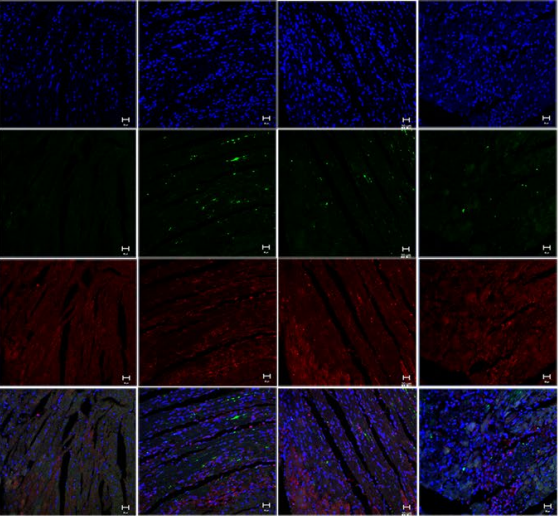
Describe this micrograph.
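Blue nuclei are scattered densely throughout the tissue. In some columns small bright green dots are scattered among the nuclei, while the leftmost column shows almost no green. In the merged images the green dots lie among blue nuclei between and along the red fibres.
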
